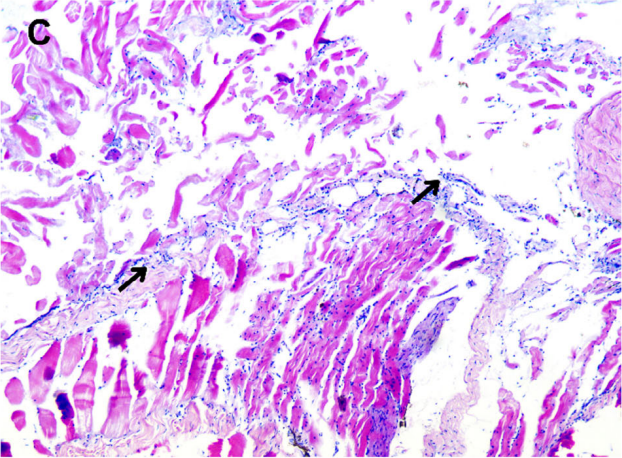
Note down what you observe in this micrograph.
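Skeletal muscle with lymphocytic infiltration between fibre bundles. Pink muscle fibres are cut lengthwise and across, many fragmented and of uneven width. Numerous small dark blue nuclei crowd along pale connective strands between bundles. Wide clear spaces separate the fibres and bundles, in keeping with intermuscular oedema.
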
